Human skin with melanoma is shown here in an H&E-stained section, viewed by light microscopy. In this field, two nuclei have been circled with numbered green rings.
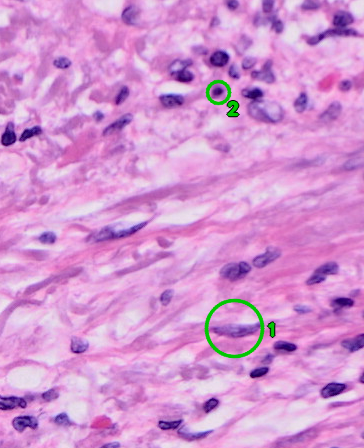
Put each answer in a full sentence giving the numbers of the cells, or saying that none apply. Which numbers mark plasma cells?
Only nucleus 2 belongs to a plasma cell; the other numbered nuclei do not.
